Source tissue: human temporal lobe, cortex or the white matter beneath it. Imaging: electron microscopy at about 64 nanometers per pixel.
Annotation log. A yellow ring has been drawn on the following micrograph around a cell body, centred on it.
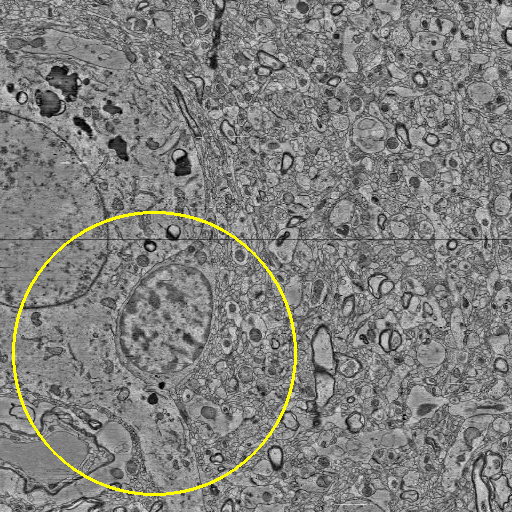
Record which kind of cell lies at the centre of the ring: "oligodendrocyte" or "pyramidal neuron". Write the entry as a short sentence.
The cell the ring is centred on is an oligodendrocyte.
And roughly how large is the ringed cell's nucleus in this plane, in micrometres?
The nucleus comes to roughly 7 by 6 micrometres in this plane.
